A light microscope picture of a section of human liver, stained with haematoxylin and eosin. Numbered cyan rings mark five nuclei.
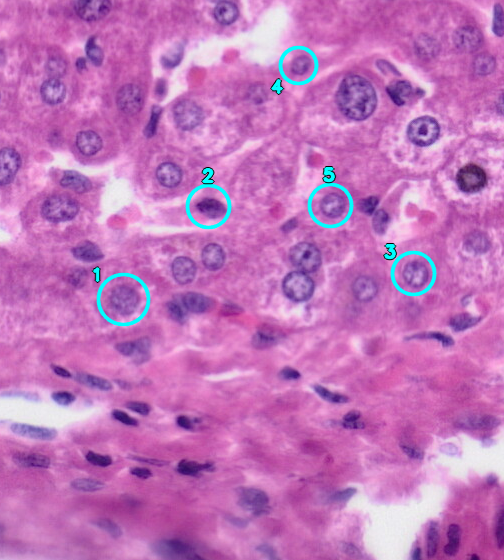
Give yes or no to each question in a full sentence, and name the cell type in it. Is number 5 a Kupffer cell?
No, number 5 points to a hepatocyte and not to a Kupffer cell.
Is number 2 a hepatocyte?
No, instead of a hepatocyte, the cell with number 2 is a Kupffer cell.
